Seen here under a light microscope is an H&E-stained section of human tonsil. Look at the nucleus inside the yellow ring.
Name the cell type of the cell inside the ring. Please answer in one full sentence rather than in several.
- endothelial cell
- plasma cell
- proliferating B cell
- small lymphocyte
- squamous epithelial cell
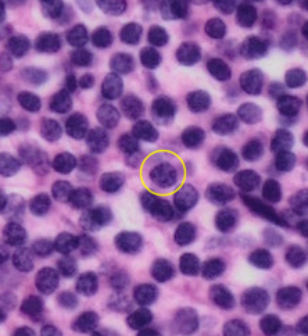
In cellular terms, the cell inside the ring is a small lymphocyte.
